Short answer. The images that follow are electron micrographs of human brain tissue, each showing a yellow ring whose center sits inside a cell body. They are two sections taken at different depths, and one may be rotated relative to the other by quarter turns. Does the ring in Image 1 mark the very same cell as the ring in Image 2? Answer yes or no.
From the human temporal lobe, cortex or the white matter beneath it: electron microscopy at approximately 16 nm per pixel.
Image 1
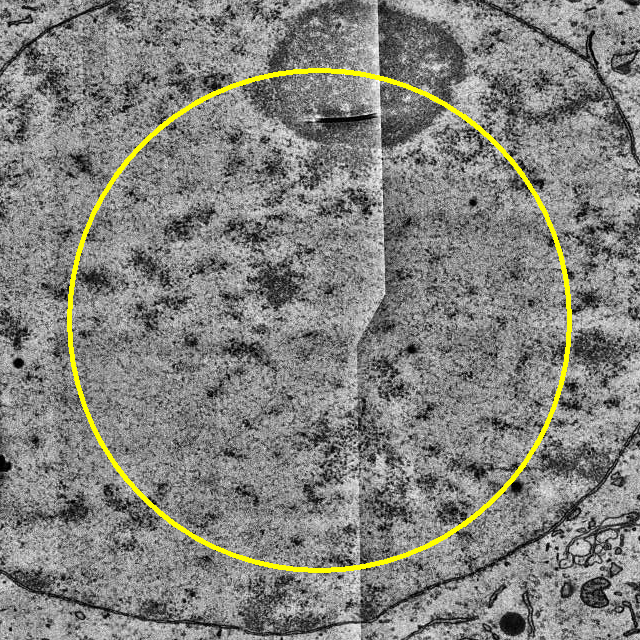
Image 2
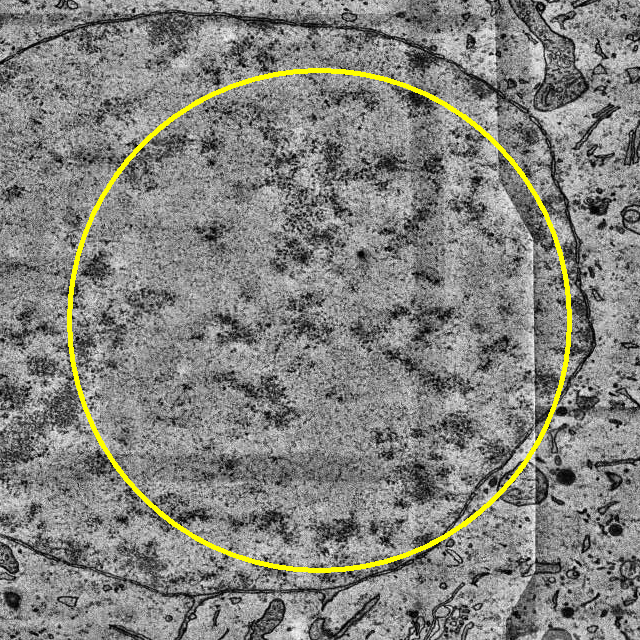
yes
